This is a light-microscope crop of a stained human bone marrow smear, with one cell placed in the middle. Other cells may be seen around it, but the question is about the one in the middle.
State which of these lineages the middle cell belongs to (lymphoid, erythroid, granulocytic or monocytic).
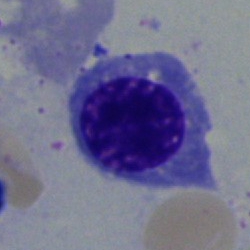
erythroid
